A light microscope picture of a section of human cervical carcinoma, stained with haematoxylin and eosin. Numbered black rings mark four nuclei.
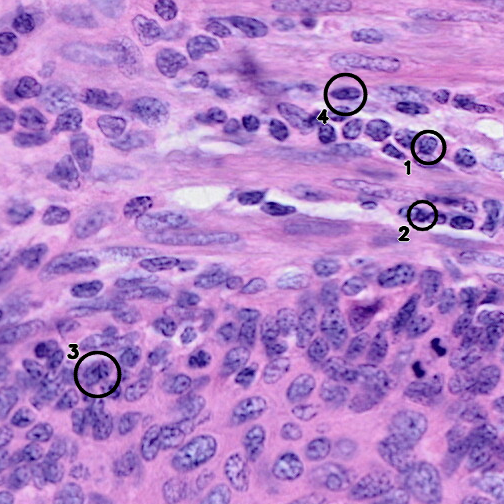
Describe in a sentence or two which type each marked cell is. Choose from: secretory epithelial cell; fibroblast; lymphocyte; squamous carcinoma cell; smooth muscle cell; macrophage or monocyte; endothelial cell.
Cell 1 is a lymphocyte, cell 2 is a lymphocyte, cell 3 is a squamous carcinoma cell and cell 4 is a lymphocyte.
